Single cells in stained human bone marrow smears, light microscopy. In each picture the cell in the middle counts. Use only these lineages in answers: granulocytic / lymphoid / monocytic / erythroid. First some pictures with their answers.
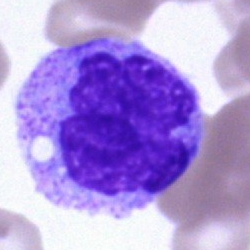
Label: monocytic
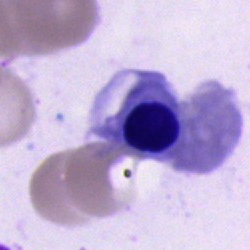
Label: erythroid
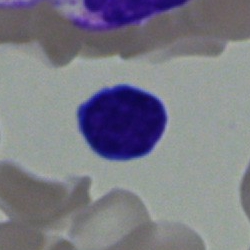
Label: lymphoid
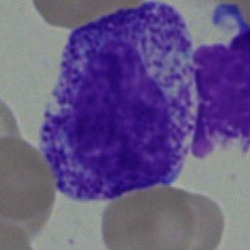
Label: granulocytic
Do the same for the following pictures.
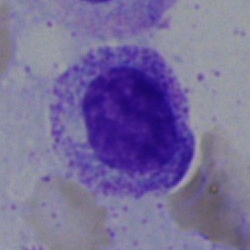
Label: granulocytic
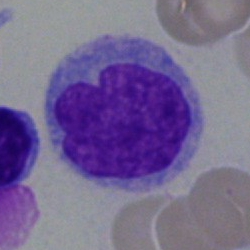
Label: monocytic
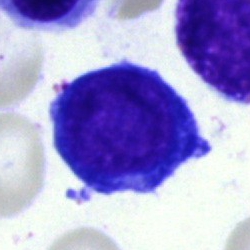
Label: erythroid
